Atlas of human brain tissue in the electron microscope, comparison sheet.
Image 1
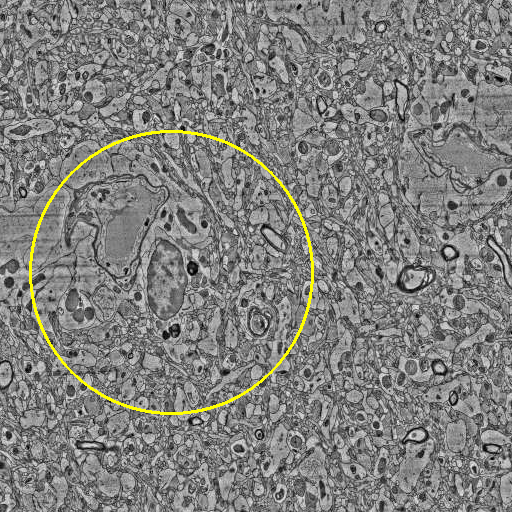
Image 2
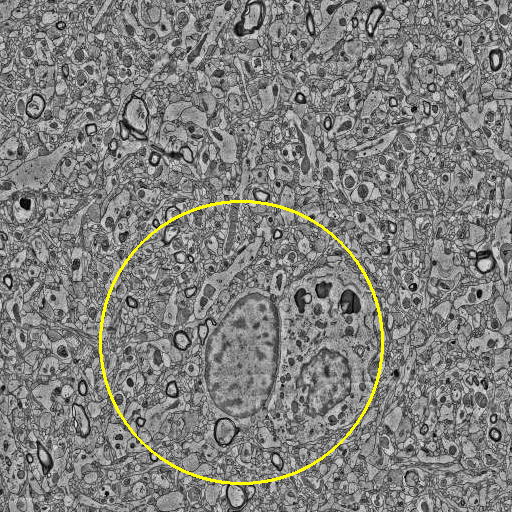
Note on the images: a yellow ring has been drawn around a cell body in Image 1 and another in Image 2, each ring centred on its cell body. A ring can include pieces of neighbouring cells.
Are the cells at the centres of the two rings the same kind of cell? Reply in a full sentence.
No, the two cells are of two kinds.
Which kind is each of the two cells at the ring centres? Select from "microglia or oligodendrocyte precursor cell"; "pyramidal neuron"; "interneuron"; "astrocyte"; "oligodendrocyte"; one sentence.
The cell at the centre of the ring is a microglial cell or oligodendrocyte precursor cell in the first picture and an oligodendrocyte in the second.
